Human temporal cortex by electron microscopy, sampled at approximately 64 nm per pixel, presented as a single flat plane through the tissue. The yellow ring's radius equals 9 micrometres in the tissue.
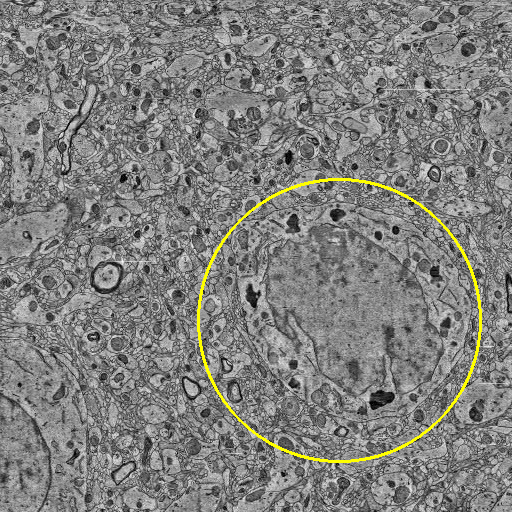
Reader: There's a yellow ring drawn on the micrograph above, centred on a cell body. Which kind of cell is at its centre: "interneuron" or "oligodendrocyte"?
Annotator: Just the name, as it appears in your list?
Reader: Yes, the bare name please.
interneuron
